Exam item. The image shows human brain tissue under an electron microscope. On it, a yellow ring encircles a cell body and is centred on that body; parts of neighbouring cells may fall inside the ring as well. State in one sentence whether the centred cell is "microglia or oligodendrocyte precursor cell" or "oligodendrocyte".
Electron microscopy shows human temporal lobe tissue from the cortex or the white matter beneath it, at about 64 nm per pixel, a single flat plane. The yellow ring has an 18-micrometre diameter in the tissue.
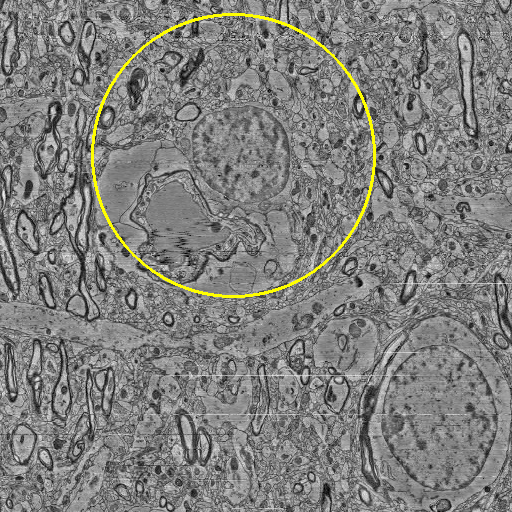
The cell body centred in the ring is an oligodendrocyte.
